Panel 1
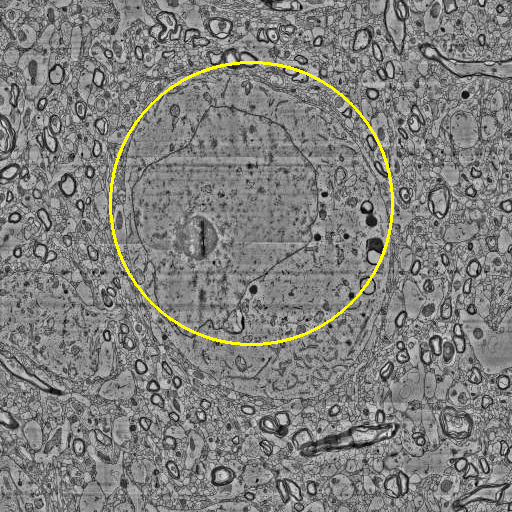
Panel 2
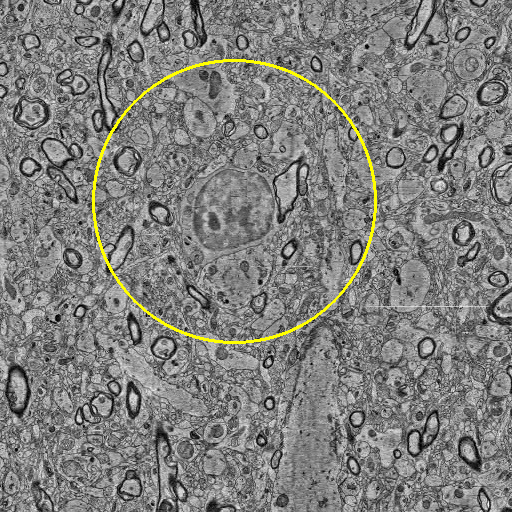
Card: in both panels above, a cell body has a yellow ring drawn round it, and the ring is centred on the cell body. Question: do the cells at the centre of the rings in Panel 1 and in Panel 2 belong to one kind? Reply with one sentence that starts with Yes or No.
No, the cells centred in the rings of Panel 1 and Panel 2 are two kinds of cell.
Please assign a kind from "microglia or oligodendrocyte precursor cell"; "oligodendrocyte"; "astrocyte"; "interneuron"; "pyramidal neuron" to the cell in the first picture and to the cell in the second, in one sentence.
In the first picture we have a pyramidal neuron, and in the second, an oligodendrocyte.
